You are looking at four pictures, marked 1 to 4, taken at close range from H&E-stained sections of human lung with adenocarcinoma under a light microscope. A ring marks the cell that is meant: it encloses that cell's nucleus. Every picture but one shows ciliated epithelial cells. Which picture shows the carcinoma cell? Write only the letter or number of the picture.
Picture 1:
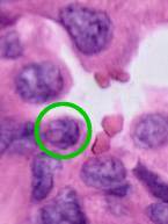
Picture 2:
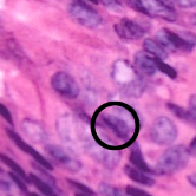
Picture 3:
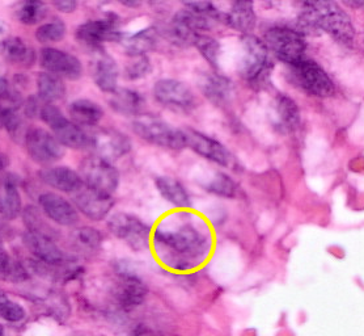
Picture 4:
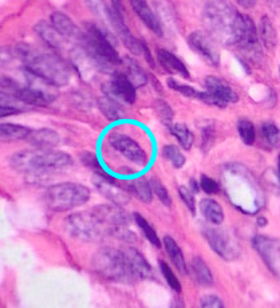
1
